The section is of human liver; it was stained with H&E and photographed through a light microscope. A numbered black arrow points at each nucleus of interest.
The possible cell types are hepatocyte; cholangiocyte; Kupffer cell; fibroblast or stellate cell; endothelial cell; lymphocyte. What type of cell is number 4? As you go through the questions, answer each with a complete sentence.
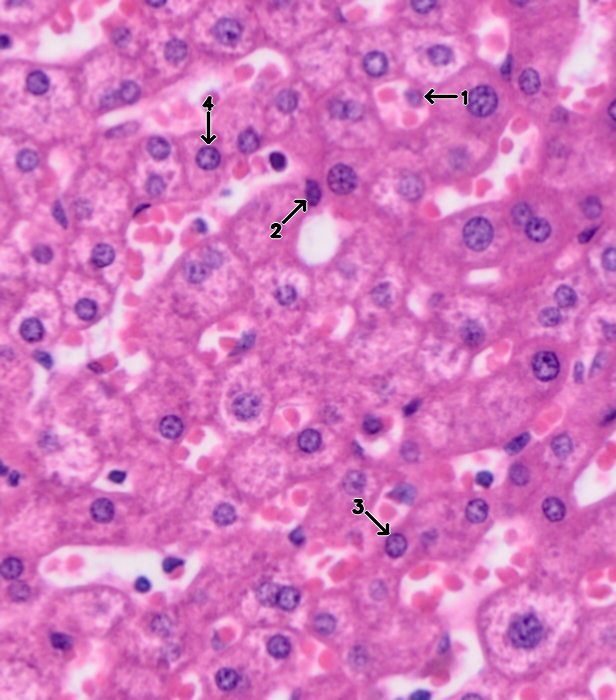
The cell identified by number 4 is a hepatocyte.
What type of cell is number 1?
Cell 1 should be recorded as a Kupffer cell.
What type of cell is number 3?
The cell tagged with 3 in this tissue section is a hepatocyte.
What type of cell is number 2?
The cell bearing label 2 corresponds to a fibroblast or stellate cell.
